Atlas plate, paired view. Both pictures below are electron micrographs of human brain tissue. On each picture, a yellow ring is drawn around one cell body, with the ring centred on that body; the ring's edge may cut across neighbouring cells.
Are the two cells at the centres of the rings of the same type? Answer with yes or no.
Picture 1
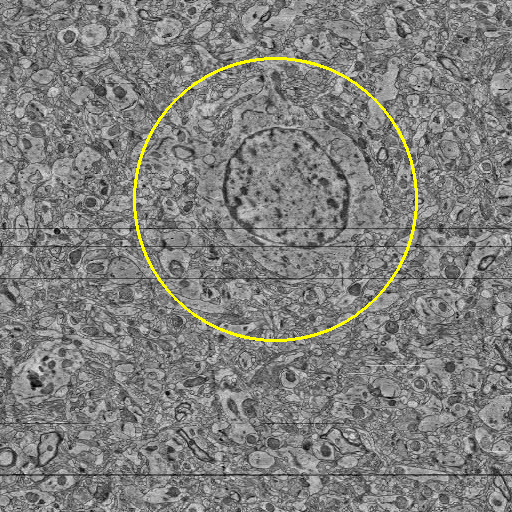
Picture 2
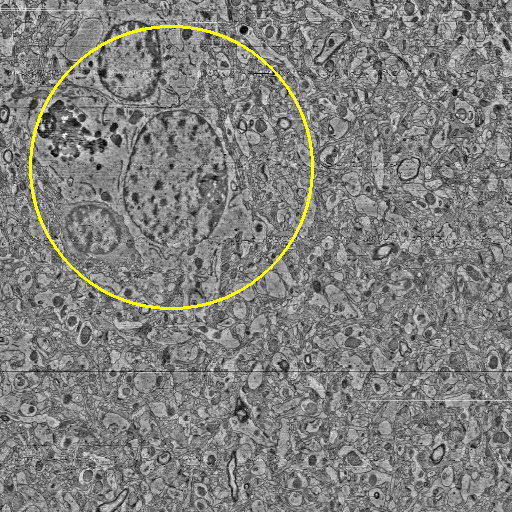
yes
